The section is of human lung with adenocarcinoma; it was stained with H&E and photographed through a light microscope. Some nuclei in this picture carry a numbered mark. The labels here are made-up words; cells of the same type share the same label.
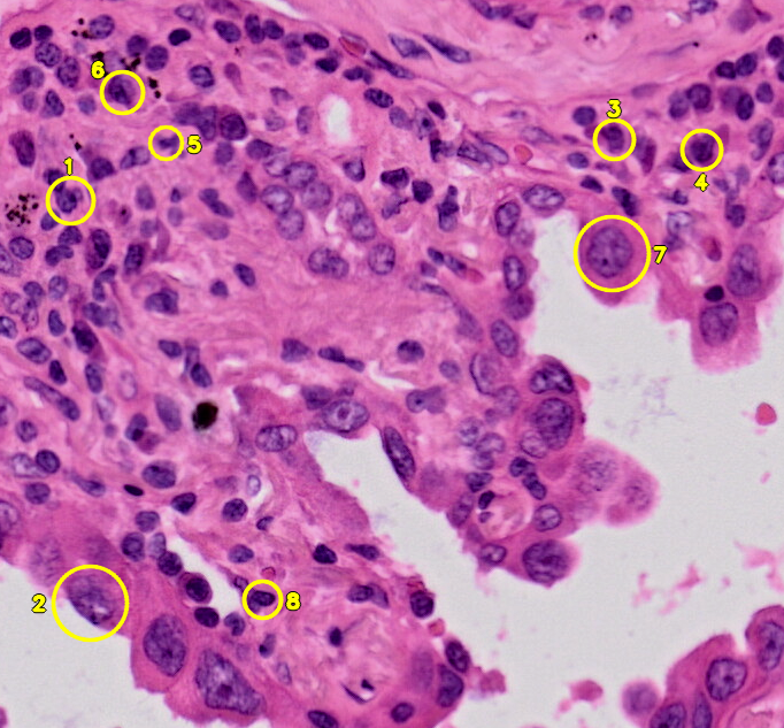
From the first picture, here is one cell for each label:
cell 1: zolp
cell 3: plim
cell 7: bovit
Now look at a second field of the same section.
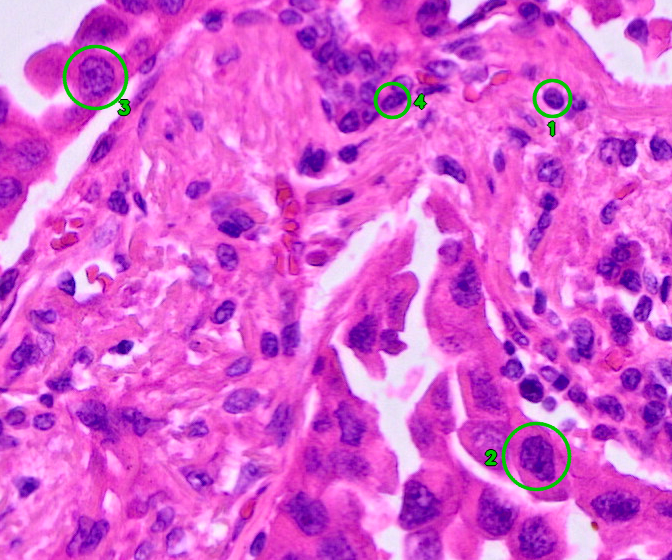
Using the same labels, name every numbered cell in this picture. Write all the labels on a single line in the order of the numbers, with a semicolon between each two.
zolp; bovit; bovit; plim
